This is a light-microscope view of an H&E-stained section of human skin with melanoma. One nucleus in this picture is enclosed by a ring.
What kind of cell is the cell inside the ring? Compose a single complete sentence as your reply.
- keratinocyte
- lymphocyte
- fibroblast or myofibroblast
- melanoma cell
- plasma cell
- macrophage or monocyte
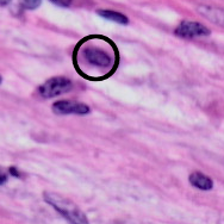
In the tissue under study, the cell inside the ring is a plasma cell.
